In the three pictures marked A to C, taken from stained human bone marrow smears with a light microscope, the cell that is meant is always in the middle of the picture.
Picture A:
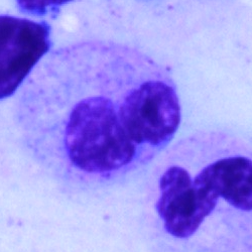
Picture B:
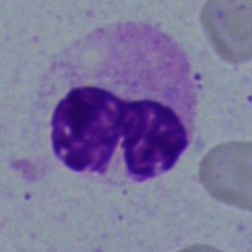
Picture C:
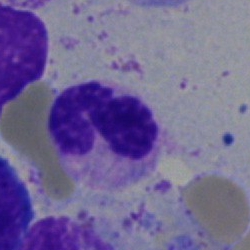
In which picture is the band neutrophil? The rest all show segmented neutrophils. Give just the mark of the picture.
A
